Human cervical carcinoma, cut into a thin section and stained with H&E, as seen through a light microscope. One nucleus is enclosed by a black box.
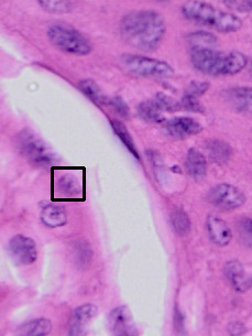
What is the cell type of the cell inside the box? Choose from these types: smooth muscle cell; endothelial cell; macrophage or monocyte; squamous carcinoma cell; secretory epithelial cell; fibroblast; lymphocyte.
squamous carcinoma cell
